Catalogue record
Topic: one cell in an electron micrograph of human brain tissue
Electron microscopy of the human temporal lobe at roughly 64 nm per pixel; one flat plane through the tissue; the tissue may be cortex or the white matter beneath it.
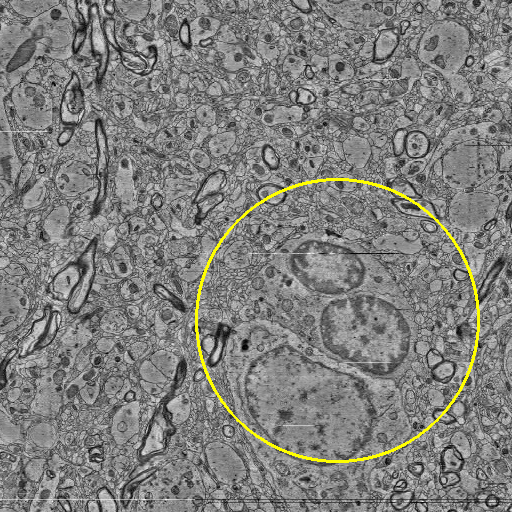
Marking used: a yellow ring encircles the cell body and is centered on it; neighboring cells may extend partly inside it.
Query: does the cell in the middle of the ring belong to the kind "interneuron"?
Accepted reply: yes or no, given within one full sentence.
No, the cell centered in the ring in the picture is of another kind.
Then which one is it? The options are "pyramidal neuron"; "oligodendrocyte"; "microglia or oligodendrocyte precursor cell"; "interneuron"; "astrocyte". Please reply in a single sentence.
The cell at the middle of the ring is an oligodendrocyte.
